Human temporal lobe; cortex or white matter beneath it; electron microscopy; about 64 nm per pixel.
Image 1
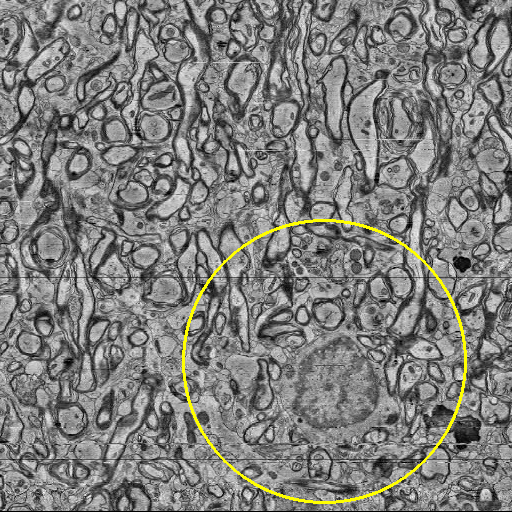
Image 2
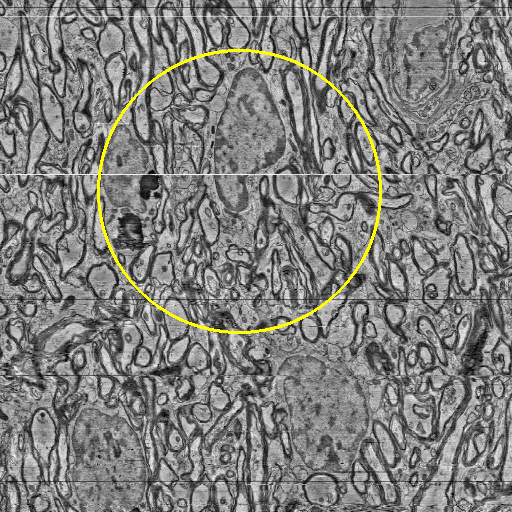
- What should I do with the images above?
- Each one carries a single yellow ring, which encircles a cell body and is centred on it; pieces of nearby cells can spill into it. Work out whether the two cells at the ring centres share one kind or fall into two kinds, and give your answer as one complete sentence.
The ring-centre cells of Image 1 and Image 2 fall into two kinds.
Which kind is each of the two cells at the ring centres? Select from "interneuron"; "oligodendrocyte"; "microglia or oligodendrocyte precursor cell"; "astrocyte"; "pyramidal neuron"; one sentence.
The cell at the centre of the ring is an oligodendrocyte in the first picture and a microglial cell or oligodendrocyte precursor cell in the second.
